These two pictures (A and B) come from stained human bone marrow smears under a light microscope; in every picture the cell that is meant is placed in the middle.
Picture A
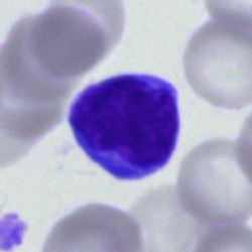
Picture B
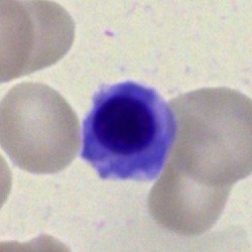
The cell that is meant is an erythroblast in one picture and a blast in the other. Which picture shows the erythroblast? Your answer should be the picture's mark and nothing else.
B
